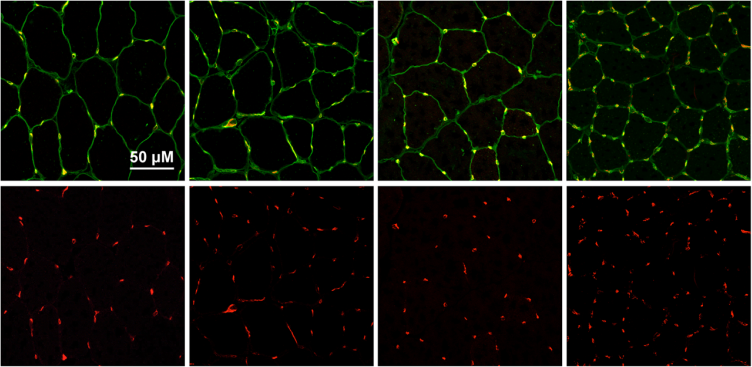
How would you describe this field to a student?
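These are cross-sections of skeletal muscle, with closely packed polygonal myofibers in transverse section. In the upper row each fibre is outlined by a thin green border, and the fibre interiors are dark and without visible detail. Small red dots and short red streaks lie in the narrow spaces between neighbouring fibres, often where several fibres meet, and where they overlap the green border they appear yellow. The lower row shows the red channel alone, so the small red profiles stand out as scattered dots and short lines on a dark background. The fibres differ somewhat in size from one section to another, and in some sections the red profiles between the fibres are more numerous.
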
